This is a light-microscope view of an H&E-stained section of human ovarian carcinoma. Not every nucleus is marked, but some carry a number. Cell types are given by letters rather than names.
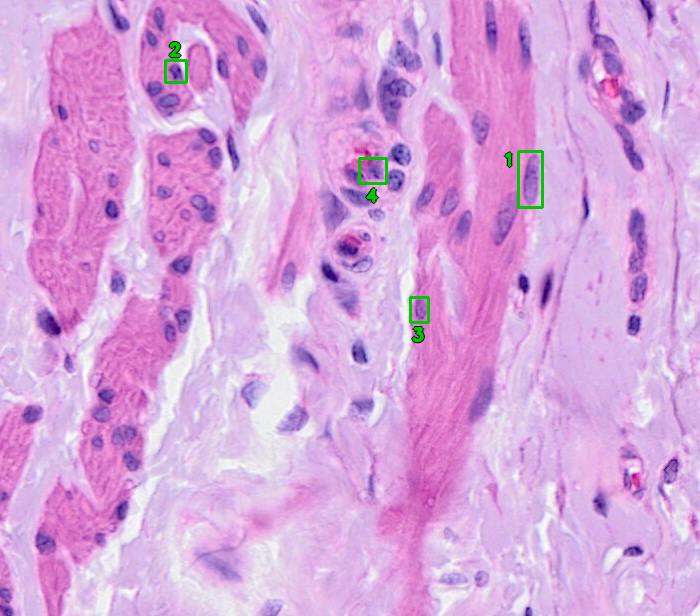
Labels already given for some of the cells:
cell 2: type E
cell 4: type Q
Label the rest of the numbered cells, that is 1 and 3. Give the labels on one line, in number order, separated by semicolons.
type E; type E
